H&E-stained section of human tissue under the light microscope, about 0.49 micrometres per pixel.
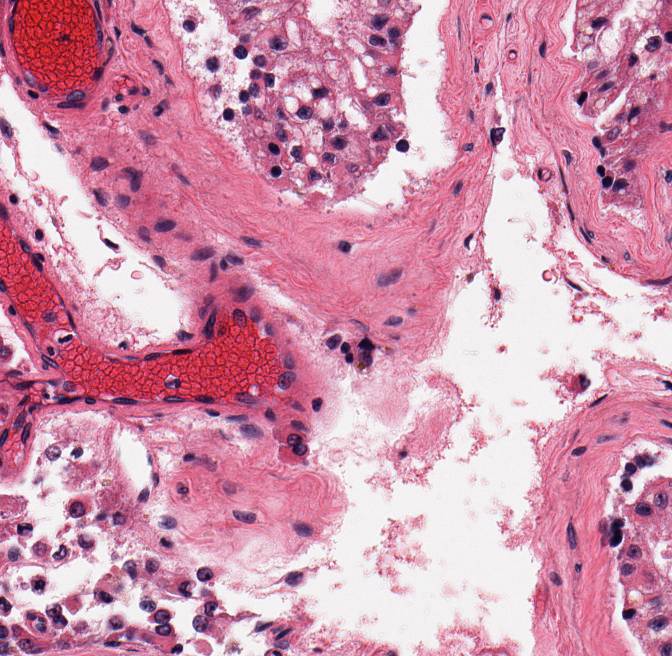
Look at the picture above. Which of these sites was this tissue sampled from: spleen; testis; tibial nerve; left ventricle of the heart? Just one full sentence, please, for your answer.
From the testis was taken the tissue in this section.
